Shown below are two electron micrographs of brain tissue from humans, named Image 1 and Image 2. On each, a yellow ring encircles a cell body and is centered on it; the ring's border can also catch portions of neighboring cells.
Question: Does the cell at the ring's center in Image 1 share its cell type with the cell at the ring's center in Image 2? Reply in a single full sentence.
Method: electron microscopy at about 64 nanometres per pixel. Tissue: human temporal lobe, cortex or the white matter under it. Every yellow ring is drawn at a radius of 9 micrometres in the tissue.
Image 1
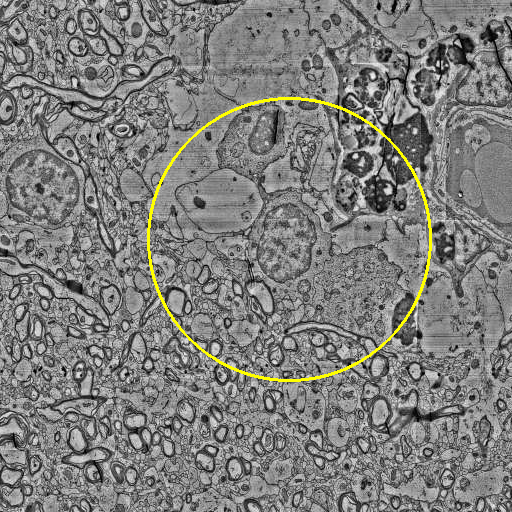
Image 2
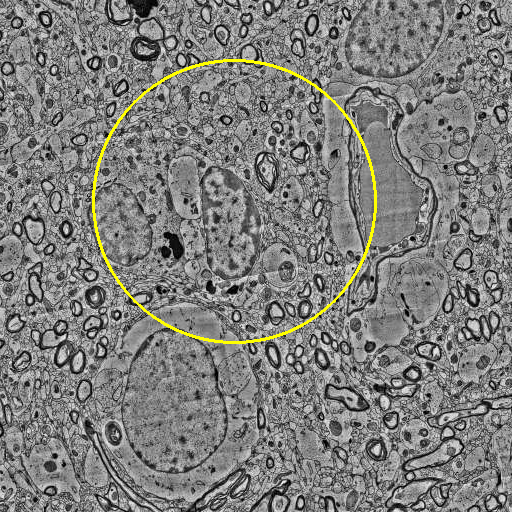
No, the two cells at the ring centers, in Image 1 and Image 2, are of two cell types.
